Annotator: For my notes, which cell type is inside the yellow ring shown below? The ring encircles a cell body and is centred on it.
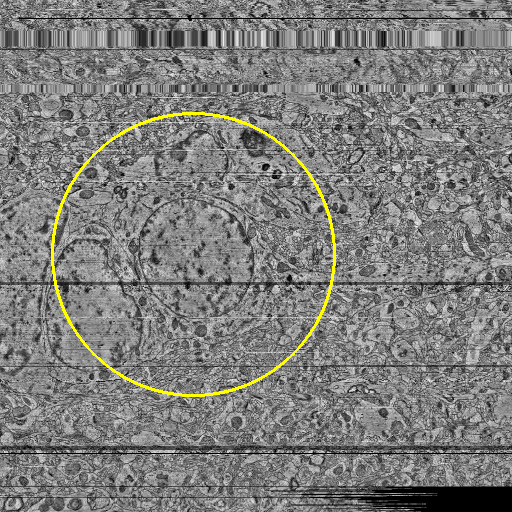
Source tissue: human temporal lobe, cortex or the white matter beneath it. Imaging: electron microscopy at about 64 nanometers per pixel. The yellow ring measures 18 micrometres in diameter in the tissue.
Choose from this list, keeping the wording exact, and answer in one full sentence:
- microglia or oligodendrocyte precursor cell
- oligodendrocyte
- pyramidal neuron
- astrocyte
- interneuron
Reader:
At the centre of the yellow ring there is a pyramidal neuron, as shown in the picture.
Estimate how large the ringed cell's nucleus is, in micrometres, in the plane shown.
Roughly 8 micrometers across in this plane.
